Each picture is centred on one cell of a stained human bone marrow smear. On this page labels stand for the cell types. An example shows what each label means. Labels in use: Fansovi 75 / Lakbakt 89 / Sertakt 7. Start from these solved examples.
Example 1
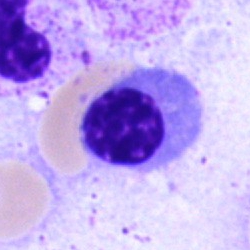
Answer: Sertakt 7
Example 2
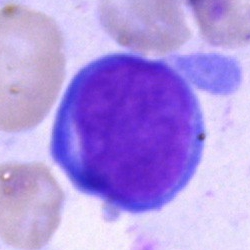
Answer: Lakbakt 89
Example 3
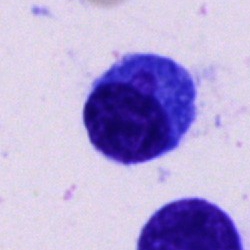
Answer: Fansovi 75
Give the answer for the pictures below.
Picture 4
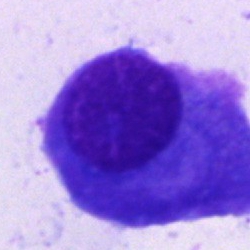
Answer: Fansovi 75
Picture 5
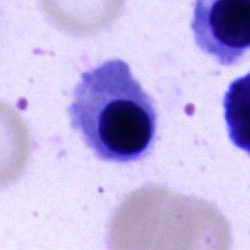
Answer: Sertakt 7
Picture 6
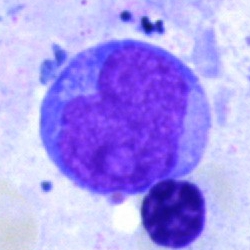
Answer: Lakbakt 89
